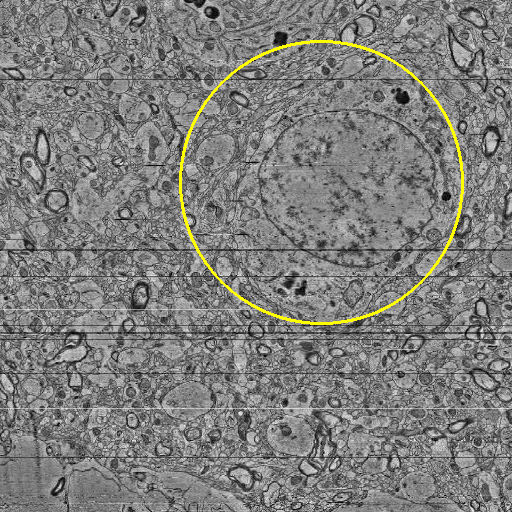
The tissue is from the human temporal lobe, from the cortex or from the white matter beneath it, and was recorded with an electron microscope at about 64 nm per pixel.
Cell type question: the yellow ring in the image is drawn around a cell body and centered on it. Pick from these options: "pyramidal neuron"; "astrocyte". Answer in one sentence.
The ringed cell at the center is a pyramidal neuron.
